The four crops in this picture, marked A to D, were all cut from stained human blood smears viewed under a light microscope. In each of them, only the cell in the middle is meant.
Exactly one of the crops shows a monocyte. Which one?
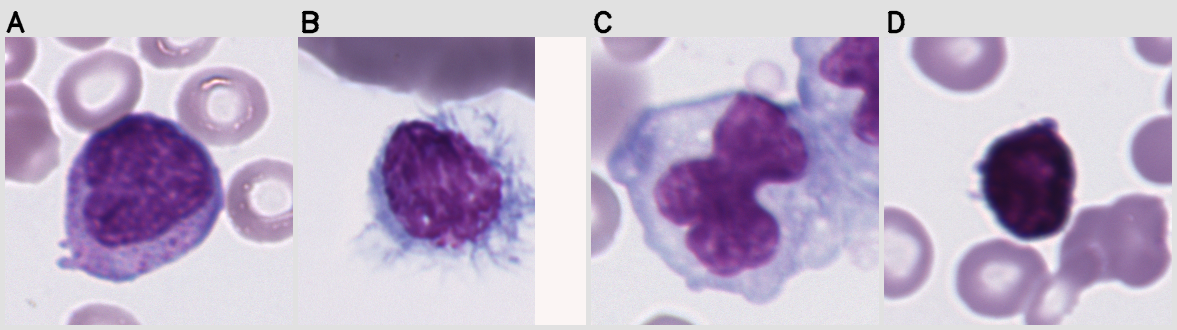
C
